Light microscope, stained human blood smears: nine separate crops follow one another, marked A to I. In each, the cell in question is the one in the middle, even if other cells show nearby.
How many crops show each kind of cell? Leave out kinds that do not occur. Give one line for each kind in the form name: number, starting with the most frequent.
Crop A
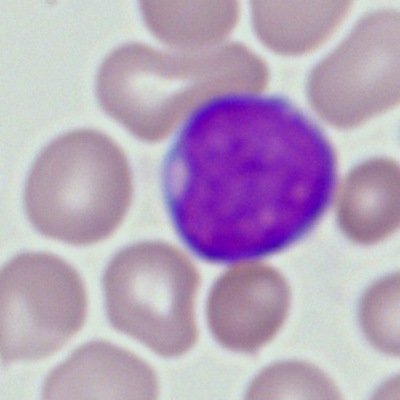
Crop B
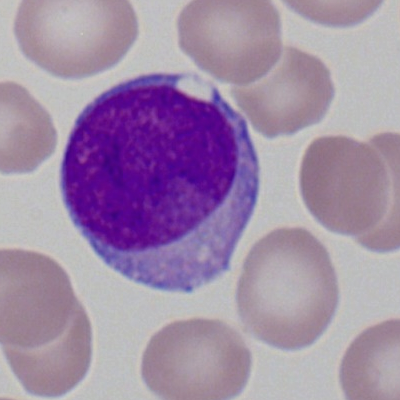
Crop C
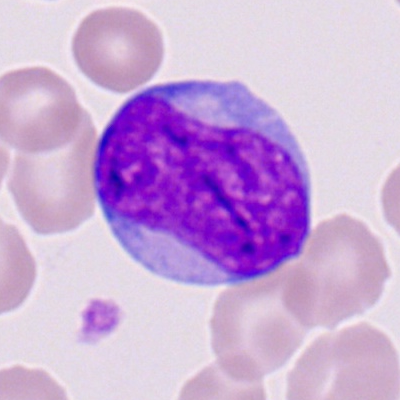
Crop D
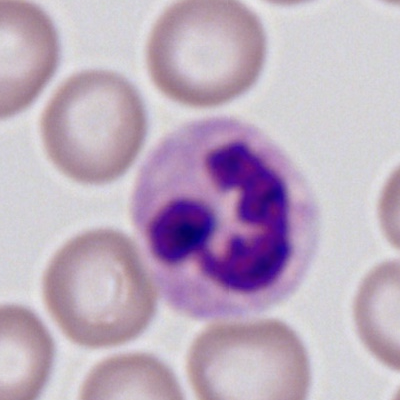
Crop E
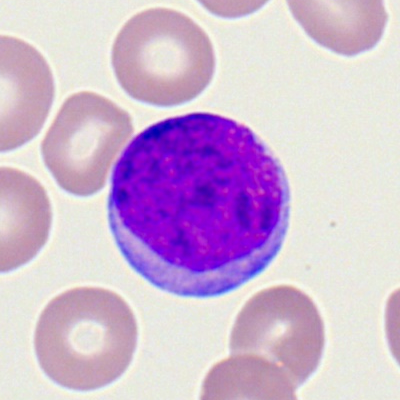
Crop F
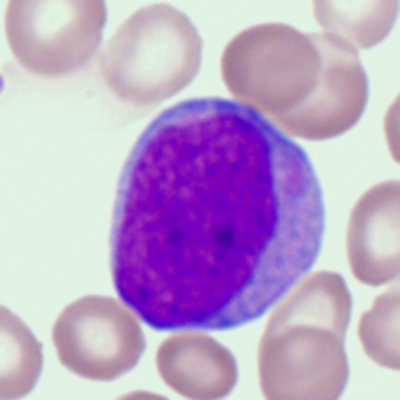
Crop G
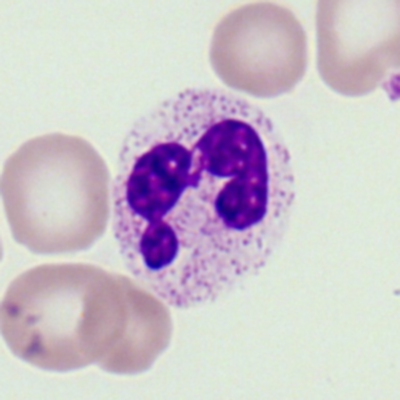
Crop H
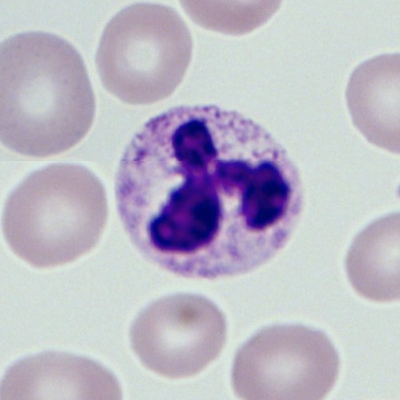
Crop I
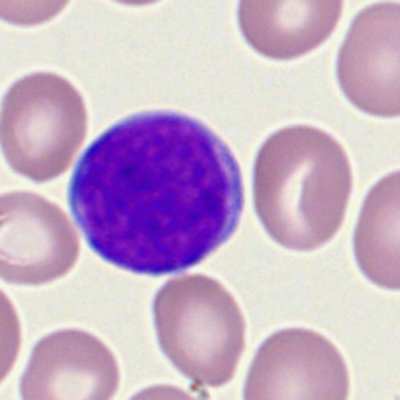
blast: 6
neutrophil: 3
